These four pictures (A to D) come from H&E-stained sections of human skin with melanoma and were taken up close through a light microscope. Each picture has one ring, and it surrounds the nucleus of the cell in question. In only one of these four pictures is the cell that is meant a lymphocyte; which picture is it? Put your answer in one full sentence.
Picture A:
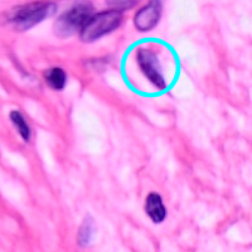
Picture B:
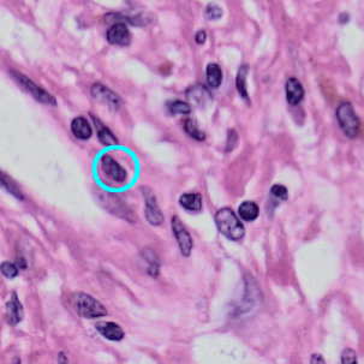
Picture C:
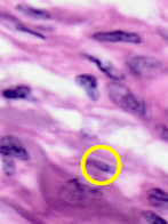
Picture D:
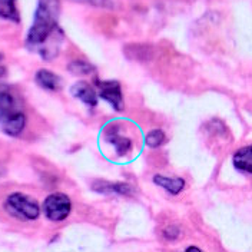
The picture with the lymphocyte is B.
